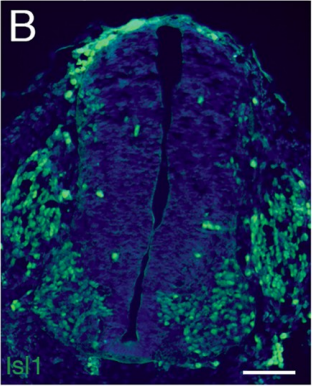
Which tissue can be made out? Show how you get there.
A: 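A bilaterally symmetric tube of densely packed cells around a narrow slit-like central lumen. Shown in cross-section. So: neural tubes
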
